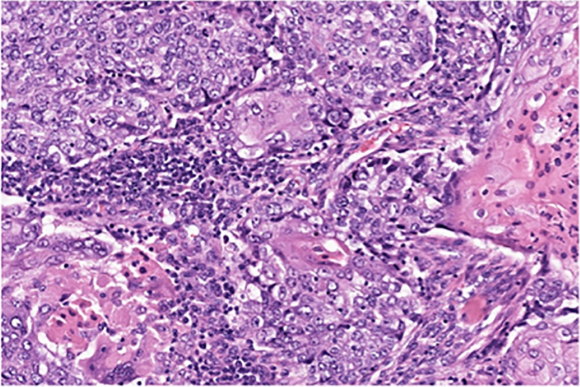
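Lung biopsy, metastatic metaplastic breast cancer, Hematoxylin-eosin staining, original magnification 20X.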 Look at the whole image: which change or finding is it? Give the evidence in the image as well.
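Bright pink, glassy keratin-like masses within and beside the nests.
Conclusion: squamous differentiation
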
